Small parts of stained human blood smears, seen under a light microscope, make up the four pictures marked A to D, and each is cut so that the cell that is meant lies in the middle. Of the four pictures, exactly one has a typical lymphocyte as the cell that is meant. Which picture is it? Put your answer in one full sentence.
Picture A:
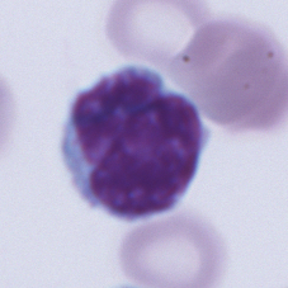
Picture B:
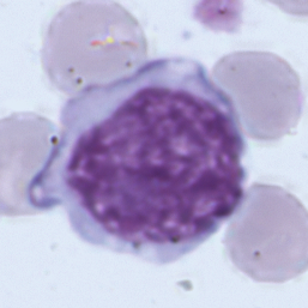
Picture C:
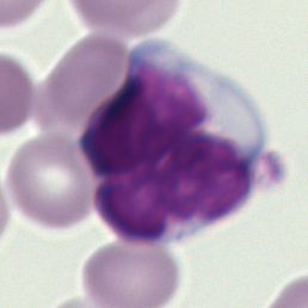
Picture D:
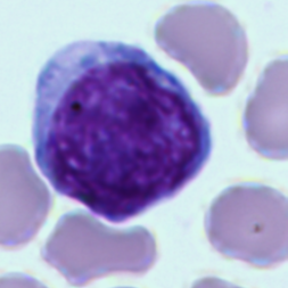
The cell in picture A is the typical lymphocyte.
